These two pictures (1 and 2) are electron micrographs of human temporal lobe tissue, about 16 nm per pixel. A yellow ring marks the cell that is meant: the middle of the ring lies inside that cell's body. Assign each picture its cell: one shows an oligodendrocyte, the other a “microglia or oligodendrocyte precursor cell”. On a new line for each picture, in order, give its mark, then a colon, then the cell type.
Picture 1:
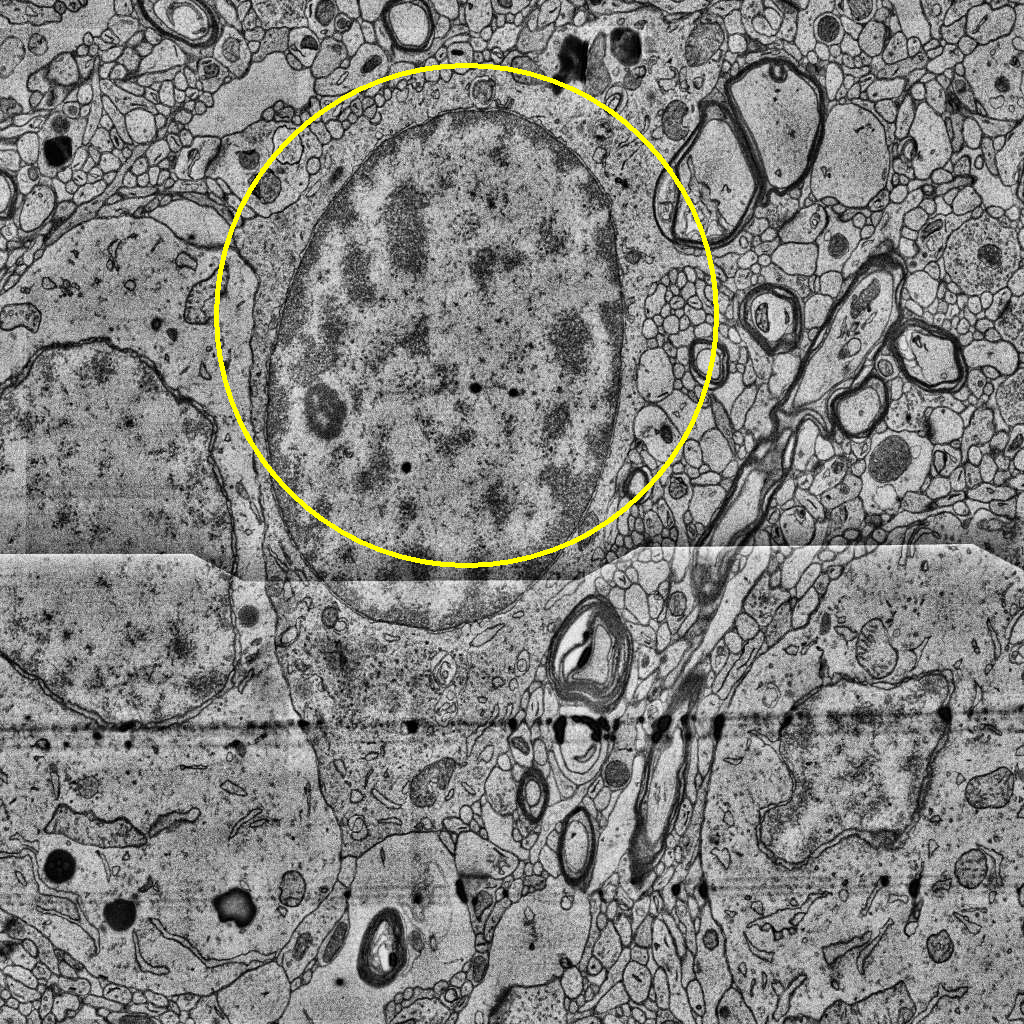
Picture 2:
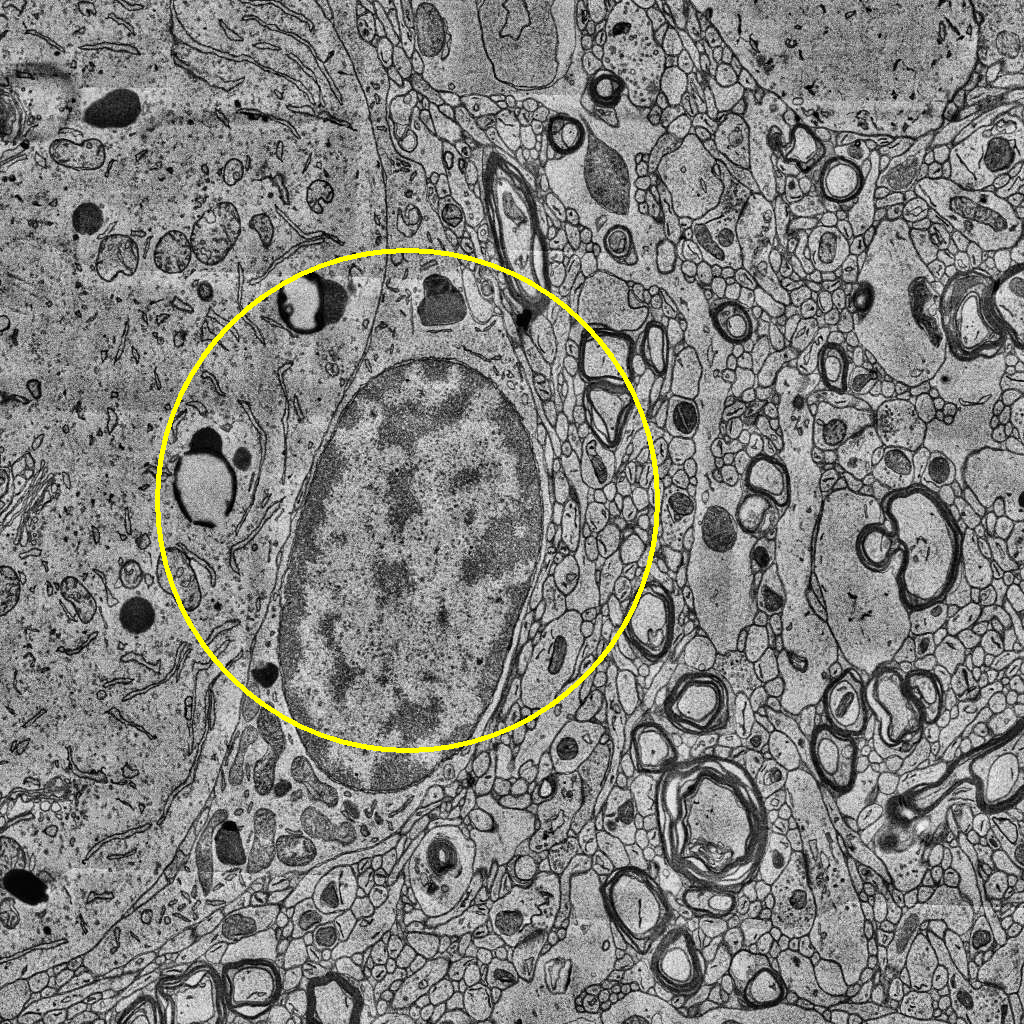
1: oligodendrocyte
2: microglia or oligodendrocyte precursor cell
